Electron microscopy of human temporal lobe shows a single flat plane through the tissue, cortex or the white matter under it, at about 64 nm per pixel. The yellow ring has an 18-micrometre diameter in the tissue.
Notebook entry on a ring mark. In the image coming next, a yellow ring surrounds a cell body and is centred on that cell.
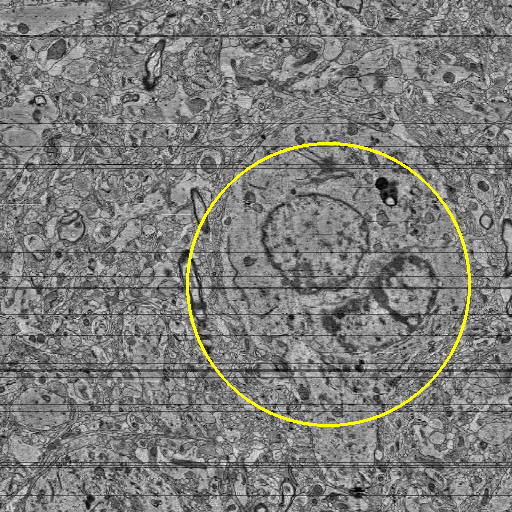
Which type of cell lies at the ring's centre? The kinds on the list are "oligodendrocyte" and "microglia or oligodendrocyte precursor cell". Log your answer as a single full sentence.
Centred in the yellow ring is a microglial cell or oligodendrocyte precursor cell, the cell recorded for this image.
